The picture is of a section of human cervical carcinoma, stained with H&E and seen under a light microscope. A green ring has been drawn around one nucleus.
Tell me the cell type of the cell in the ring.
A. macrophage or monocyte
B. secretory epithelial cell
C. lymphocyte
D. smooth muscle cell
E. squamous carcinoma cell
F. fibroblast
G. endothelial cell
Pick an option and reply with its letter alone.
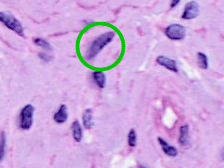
F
